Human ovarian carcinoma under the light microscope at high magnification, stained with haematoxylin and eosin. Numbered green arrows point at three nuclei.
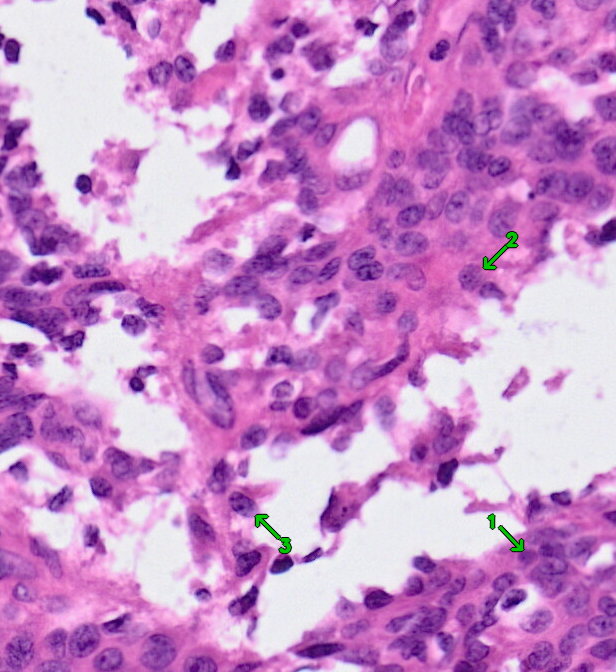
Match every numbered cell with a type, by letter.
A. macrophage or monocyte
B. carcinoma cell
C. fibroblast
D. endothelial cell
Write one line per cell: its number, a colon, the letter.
1: B
2: B
3: A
